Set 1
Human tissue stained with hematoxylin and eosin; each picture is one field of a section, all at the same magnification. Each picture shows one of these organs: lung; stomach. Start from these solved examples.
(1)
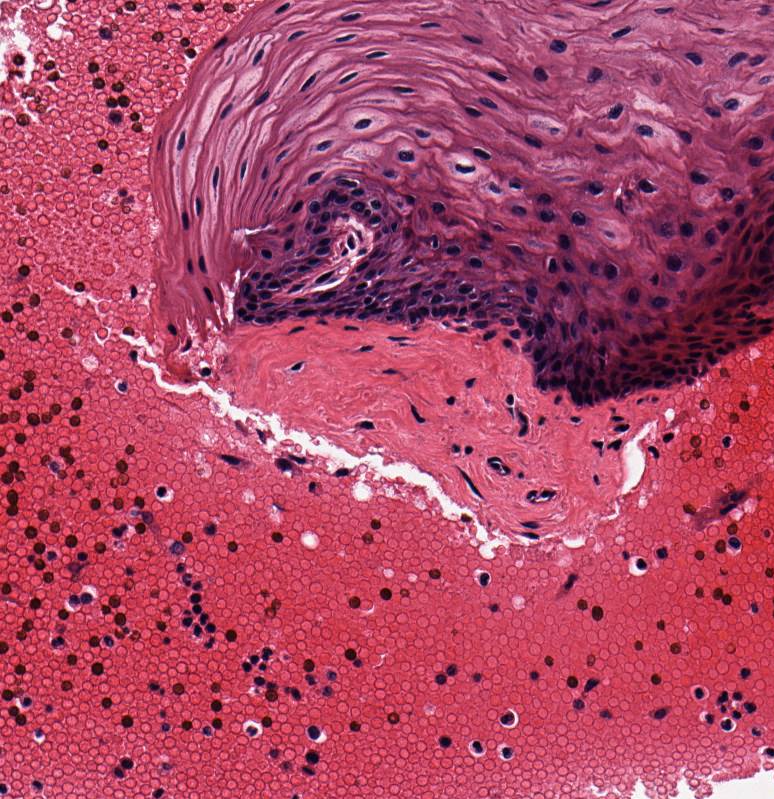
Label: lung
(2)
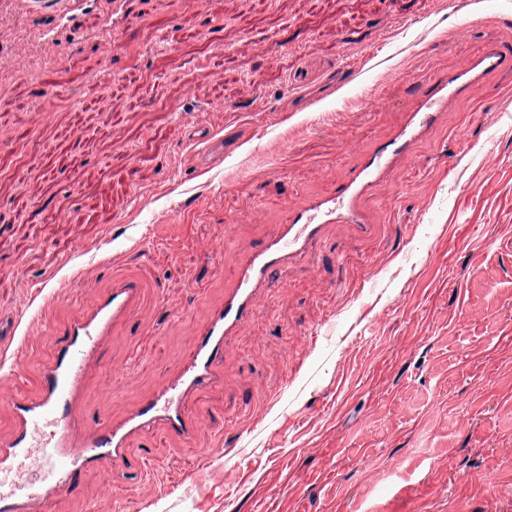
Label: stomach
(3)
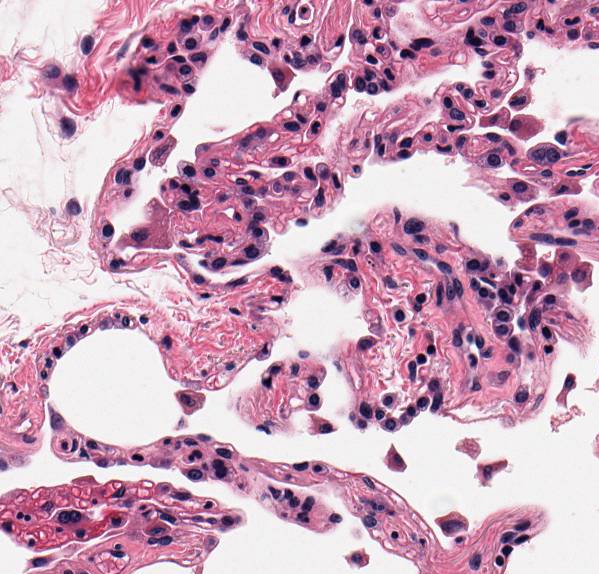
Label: lung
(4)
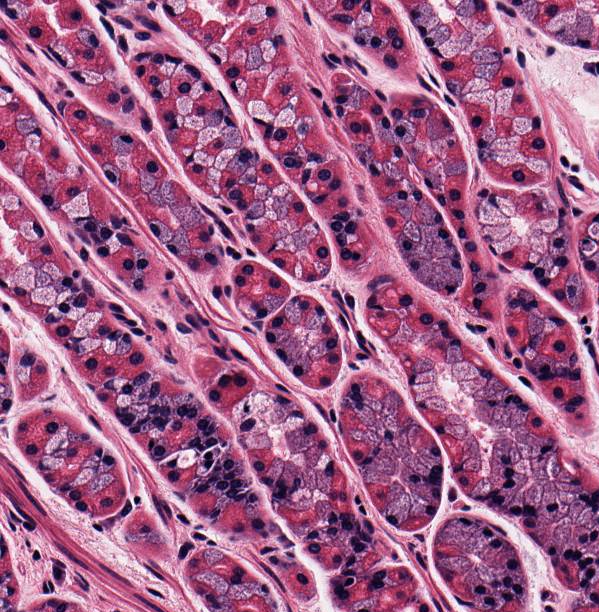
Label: stomach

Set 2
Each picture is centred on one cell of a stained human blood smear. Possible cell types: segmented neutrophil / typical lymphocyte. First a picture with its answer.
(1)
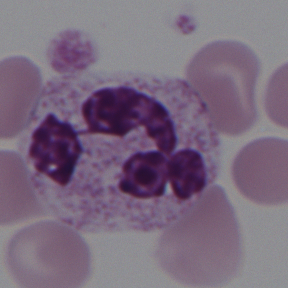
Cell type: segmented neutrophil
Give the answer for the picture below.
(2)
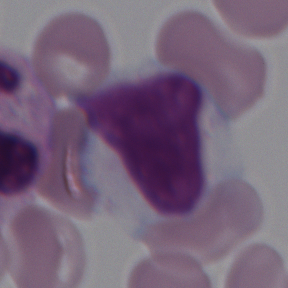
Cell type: typical lymphocyte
